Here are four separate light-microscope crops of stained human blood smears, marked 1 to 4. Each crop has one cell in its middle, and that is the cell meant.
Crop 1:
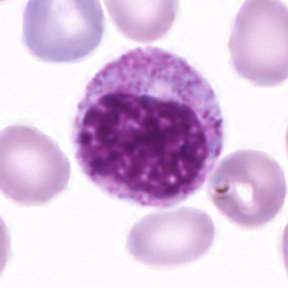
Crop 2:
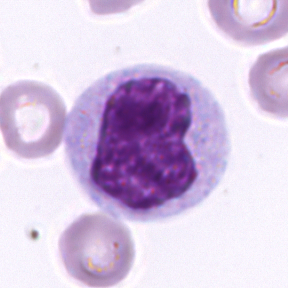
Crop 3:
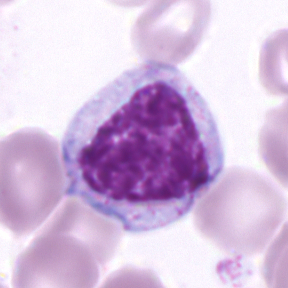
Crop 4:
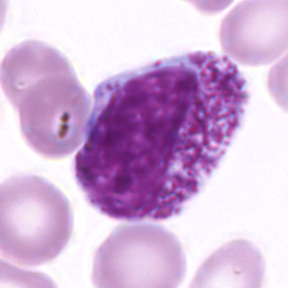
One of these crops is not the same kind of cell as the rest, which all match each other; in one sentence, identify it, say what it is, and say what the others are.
In every crop except crop 2, which shows a metamyelocyte, myelocytes are shown.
